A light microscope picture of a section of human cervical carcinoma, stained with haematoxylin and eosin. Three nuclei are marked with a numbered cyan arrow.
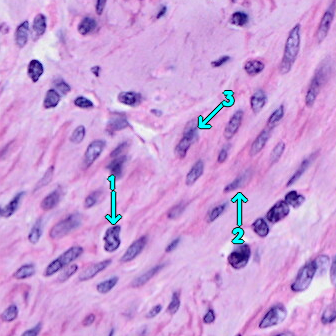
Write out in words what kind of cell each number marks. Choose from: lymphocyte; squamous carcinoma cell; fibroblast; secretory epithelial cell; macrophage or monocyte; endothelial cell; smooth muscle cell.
Cell 1 is a lymphocyte, cell 2 is a smooth muscle cell and cell 3 is a smooth muscle cell.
